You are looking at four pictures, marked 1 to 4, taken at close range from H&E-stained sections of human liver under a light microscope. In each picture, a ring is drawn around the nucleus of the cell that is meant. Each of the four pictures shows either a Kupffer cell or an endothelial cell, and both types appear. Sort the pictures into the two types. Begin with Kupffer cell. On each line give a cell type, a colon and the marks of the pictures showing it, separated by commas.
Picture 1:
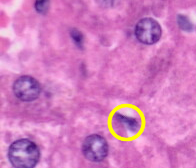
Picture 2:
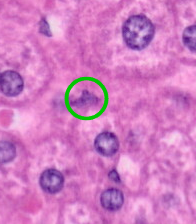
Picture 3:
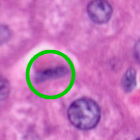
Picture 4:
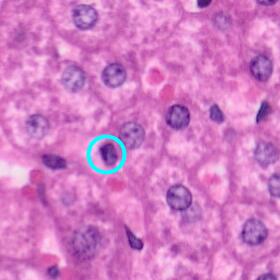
Kupffer cell: 3, 4
endothelial cell: 1, 2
